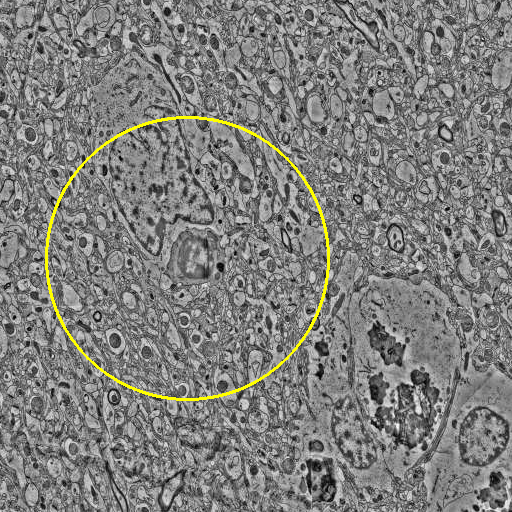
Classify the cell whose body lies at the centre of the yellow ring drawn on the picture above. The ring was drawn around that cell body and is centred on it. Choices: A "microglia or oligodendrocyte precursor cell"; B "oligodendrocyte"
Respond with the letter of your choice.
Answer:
B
